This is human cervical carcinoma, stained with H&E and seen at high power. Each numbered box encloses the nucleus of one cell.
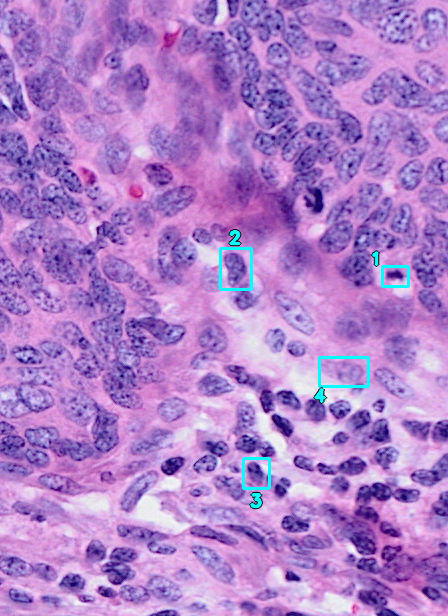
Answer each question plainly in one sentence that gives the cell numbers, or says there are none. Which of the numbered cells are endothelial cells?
Cell 4 is an endothelial cell, and it is the only numbered cell that is.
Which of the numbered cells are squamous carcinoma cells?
Among all the marked cells, a squamous carcinoma cell is found only at number 1.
